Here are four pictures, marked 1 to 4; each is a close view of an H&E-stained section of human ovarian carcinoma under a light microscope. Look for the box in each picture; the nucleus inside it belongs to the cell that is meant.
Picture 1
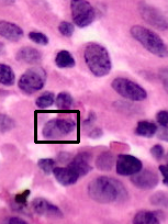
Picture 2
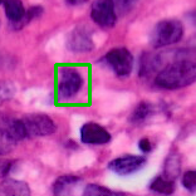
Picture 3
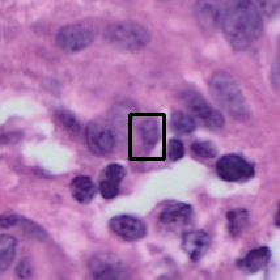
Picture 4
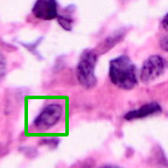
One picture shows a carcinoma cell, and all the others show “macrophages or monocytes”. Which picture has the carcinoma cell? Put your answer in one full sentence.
The picture with the carcinoma cell is 3.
